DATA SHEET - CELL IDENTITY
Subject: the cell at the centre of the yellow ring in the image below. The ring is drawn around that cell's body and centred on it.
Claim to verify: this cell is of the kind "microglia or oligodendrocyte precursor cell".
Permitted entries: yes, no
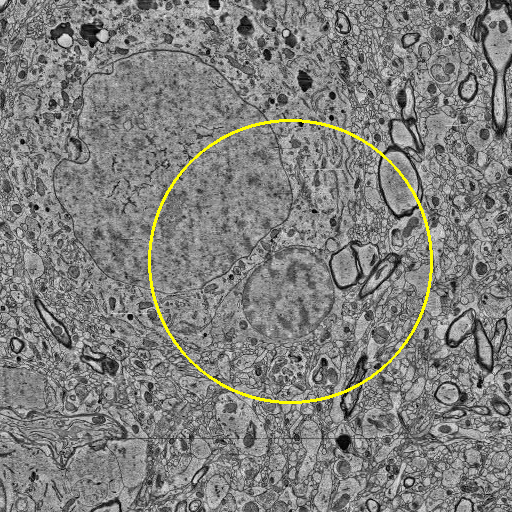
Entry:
no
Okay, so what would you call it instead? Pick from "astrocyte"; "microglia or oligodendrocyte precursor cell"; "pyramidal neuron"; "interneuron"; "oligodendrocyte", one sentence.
The cell in the ring is an oligodendrocyte instead.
